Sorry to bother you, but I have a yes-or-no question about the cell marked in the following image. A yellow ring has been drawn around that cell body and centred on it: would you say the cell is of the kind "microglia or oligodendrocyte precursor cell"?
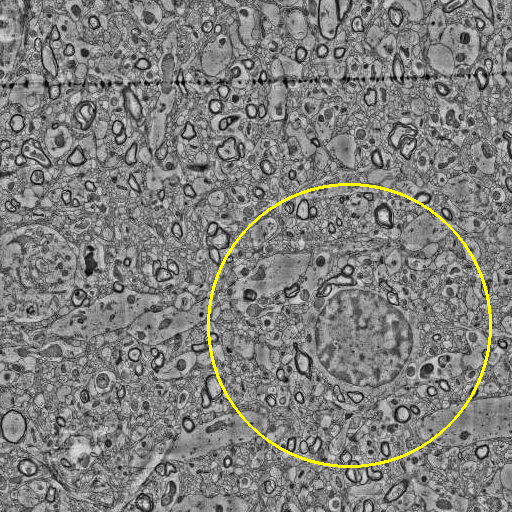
no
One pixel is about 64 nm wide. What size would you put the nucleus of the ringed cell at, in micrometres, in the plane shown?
Roughly 6 micrometres across for the nucleus, in this plane.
